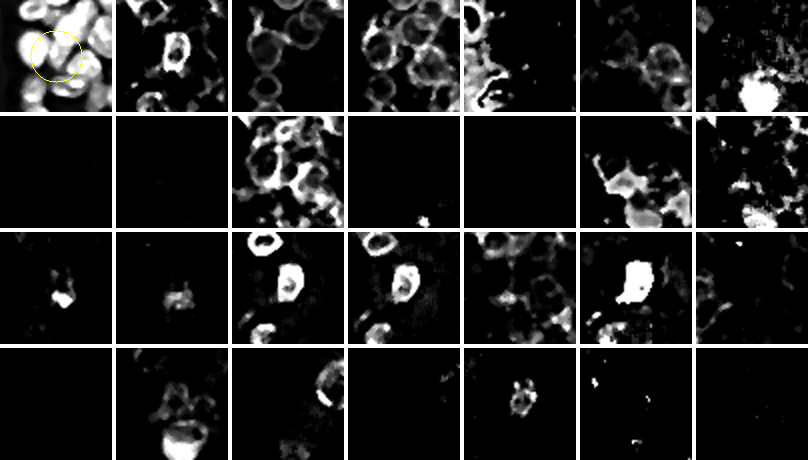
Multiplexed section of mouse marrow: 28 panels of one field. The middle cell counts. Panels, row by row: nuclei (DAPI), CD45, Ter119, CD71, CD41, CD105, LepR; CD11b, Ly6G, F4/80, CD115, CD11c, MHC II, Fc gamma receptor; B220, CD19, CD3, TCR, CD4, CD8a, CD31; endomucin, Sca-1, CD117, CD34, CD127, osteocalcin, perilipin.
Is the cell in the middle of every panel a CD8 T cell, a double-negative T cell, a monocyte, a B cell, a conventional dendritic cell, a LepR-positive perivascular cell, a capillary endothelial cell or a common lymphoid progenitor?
It is a CD8 T cell.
